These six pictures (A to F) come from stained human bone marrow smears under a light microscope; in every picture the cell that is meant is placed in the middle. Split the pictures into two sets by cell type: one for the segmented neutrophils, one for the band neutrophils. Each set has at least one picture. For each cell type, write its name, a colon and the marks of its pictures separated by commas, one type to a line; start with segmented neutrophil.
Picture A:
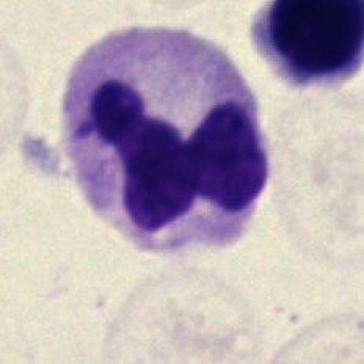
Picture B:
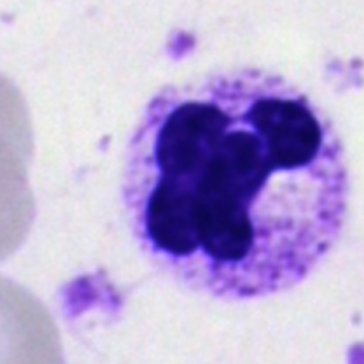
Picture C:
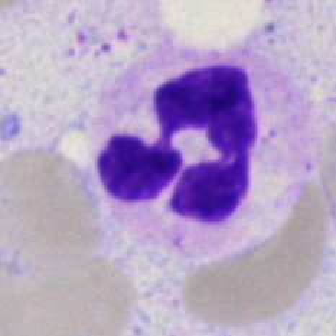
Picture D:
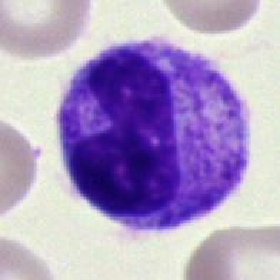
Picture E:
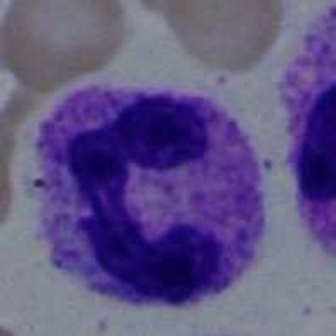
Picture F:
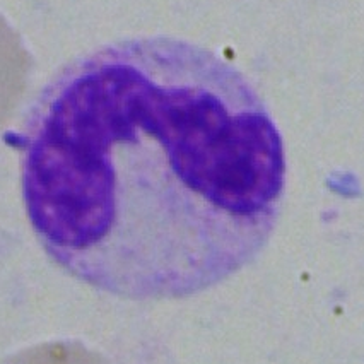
segmented neutrophil: A, B, C
band neutrophil: D, E, F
